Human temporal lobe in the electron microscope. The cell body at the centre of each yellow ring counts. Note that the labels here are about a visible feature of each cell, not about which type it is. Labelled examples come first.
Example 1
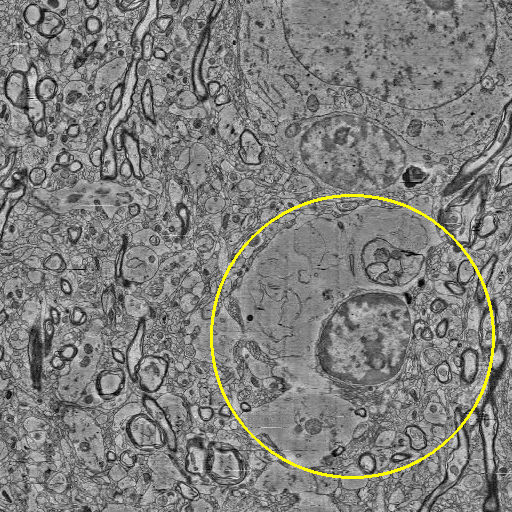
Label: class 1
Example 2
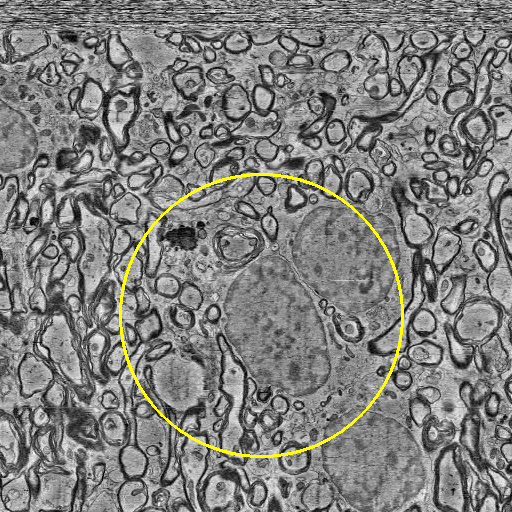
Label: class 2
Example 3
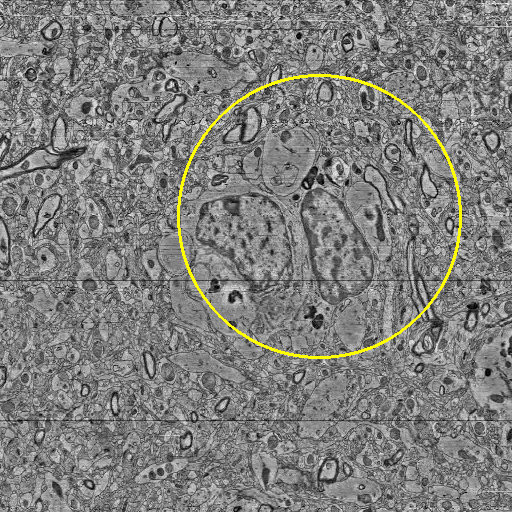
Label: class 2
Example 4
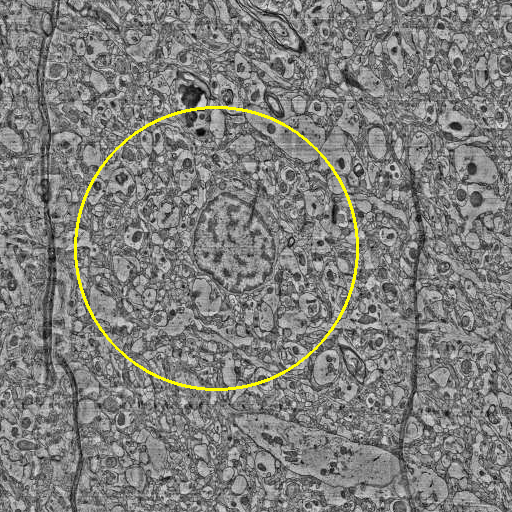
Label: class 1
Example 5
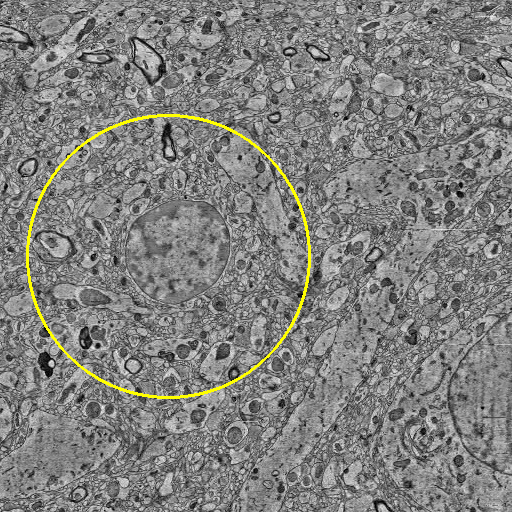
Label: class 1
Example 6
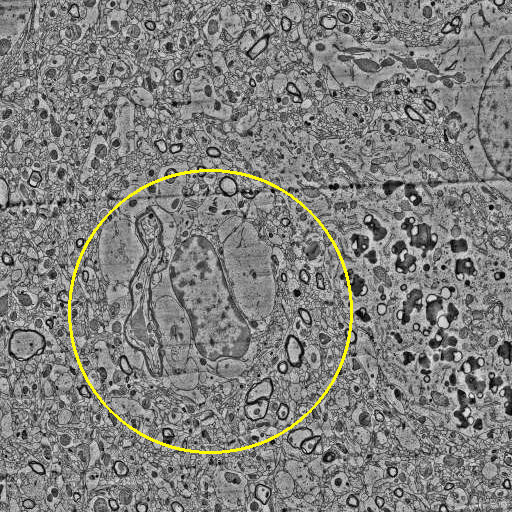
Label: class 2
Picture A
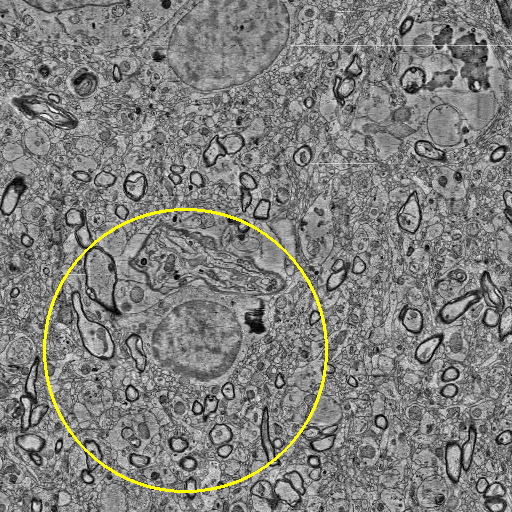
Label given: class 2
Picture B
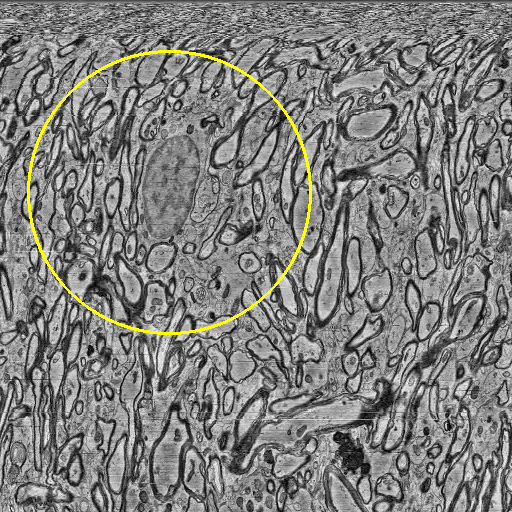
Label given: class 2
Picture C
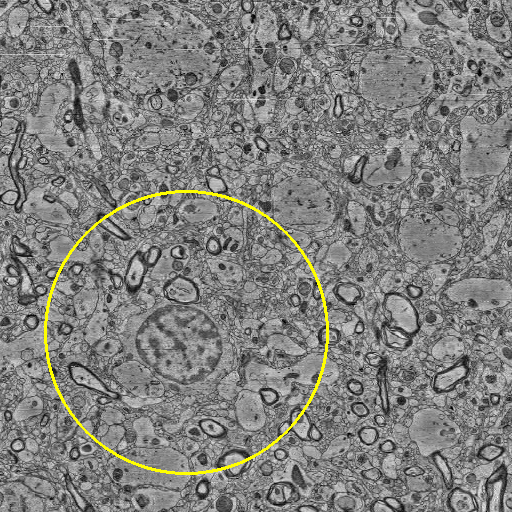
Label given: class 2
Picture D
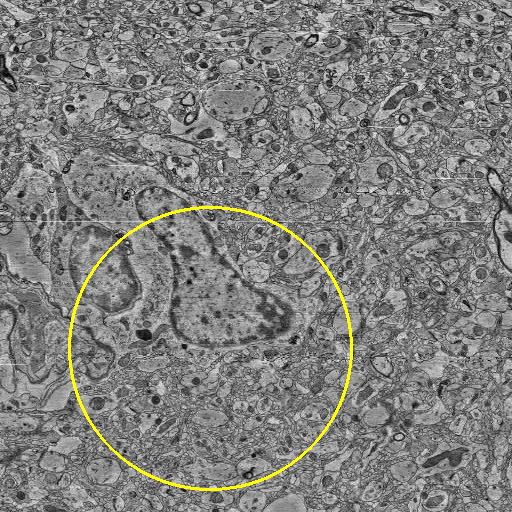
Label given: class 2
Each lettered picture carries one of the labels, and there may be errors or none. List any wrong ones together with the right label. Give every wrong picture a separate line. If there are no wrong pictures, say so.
A: not class 2 but class 1
C: not class 2 but class 1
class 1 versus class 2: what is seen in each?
Seen in class 1: round or nearly round nuclei; seen in class 2: clearly elongated nuclei.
